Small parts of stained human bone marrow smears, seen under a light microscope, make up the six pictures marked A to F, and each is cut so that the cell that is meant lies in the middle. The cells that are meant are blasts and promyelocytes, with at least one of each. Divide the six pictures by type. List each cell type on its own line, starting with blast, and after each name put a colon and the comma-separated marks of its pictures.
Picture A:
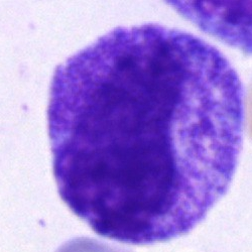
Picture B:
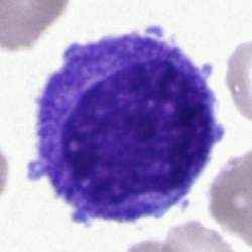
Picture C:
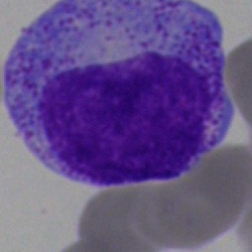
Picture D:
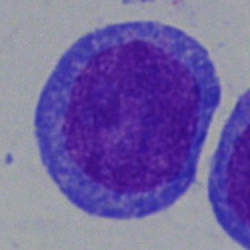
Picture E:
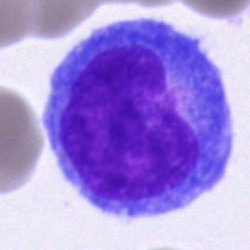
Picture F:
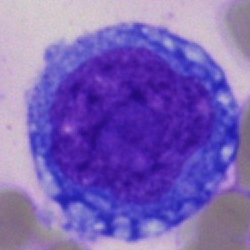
blast: D, E, F
promyelocyte: A, B, C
